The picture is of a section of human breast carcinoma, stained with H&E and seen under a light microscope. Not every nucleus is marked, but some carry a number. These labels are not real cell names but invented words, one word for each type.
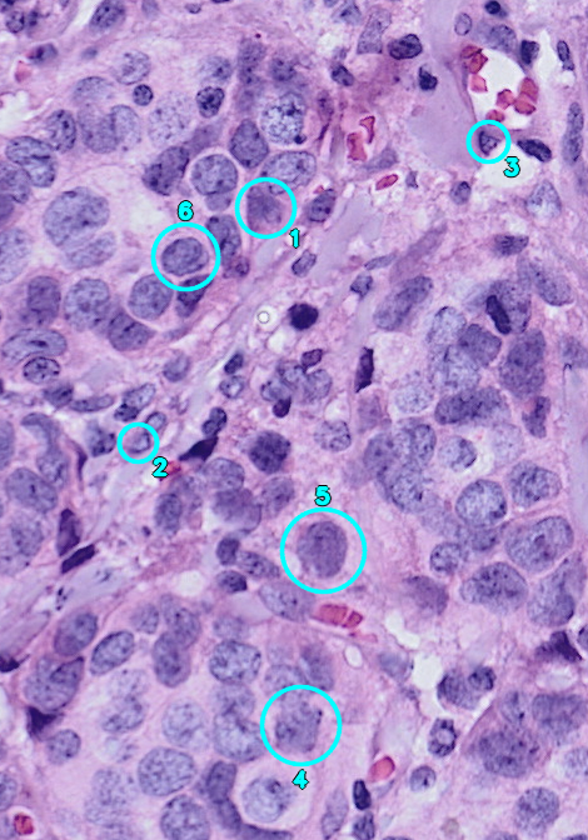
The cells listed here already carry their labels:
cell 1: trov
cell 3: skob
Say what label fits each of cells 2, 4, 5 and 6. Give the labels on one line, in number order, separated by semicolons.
skob; trov; trov; trov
